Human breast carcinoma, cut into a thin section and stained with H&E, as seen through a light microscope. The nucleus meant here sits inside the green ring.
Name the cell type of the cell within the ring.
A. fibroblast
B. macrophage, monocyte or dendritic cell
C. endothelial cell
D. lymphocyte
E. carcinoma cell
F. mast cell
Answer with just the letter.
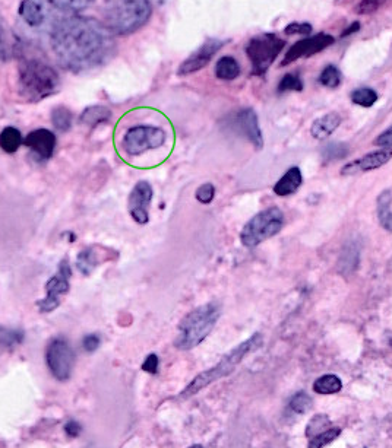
B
